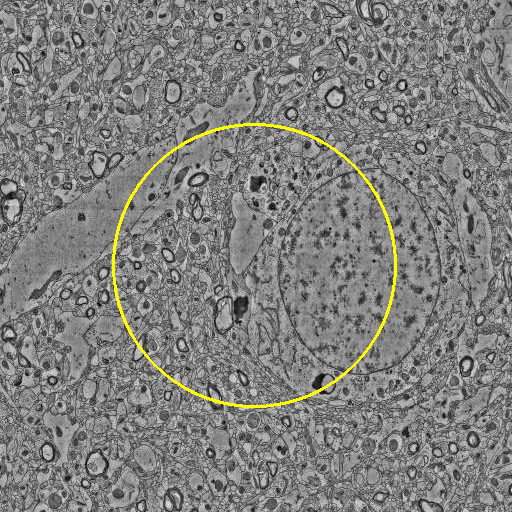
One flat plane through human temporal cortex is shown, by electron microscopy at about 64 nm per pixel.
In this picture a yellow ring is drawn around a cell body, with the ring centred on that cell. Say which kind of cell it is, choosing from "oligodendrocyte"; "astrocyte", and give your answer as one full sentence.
Here it is an oligodendrocyte that sits at the centre of the drawn yellow ring.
